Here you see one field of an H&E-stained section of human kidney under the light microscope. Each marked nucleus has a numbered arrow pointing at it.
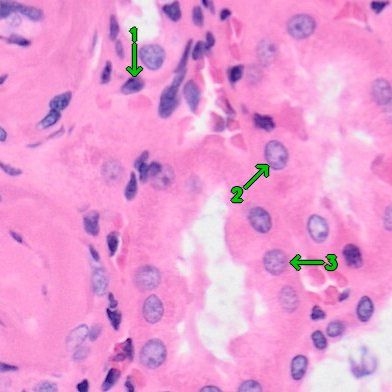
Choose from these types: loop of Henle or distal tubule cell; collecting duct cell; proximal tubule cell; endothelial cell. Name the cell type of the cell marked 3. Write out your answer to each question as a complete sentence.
It is as a proximal tubule cell that the cell numbered 3 is identified.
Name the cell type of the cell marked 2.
Within this field of view, the cell labelled 2 is a proximal tubule cell.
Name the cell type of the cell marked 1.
The cell referenced by the number 1 is an endothelial cell in this field.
